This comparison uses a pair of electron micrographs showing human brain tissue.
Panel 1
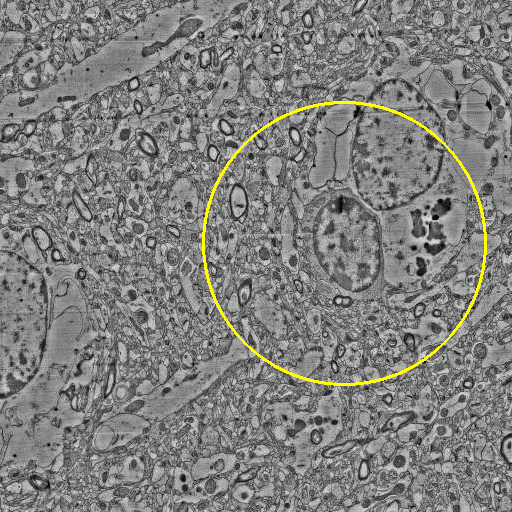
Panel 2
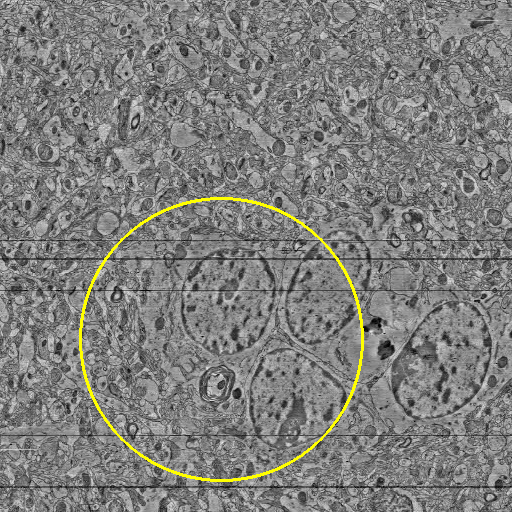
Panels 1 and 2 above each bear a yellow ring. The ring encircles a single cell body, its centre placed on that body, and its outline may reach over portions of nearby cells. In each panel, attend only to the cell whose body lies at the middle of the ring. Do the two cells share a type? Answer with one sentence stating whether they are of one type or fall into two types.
In Panel 1 and Panel 2, the cells at the centres of the rings fall into two types.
